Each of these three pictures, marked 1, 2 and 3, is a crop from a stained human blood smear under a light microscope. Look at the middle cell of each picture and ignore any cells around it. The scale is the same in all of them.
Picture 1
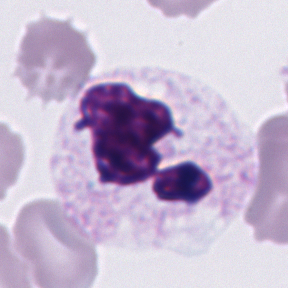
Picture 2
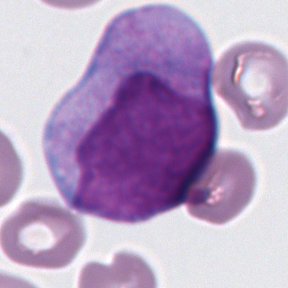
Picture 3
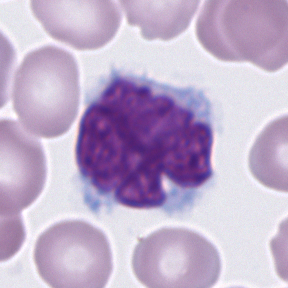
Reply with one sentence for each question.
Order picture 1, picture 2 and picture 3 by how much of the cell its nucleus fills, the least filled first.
They run 1, 2, 3, the least filled first.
